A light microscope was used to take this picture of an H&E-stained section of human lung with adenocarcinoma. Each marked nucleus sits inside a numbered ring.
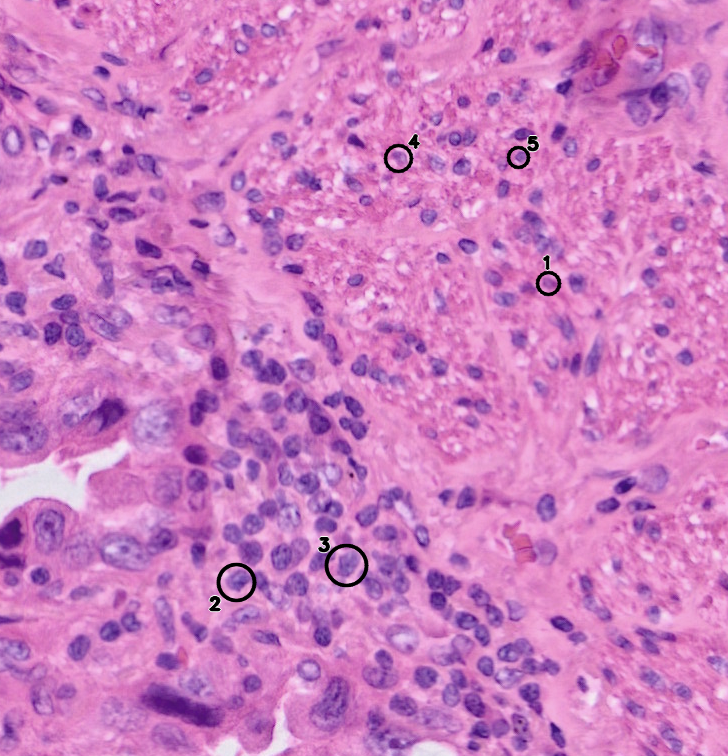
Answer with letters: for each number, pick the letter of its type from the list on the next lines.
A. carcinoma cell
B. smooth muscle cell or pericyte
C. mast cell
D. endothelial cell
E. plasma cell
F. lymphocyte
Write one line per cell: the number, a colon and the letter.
1: B
2: F
3: F
4: B
5: B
